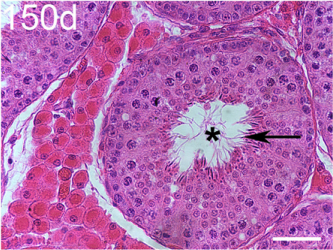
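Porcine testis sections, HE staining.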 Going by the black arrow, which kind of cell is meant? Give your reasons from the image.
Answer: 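The arrow tip lies at the edge of the central open space of the tubule. Fine thread-like tails project from the epithelium into the open space there.
Spermatozoa.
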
